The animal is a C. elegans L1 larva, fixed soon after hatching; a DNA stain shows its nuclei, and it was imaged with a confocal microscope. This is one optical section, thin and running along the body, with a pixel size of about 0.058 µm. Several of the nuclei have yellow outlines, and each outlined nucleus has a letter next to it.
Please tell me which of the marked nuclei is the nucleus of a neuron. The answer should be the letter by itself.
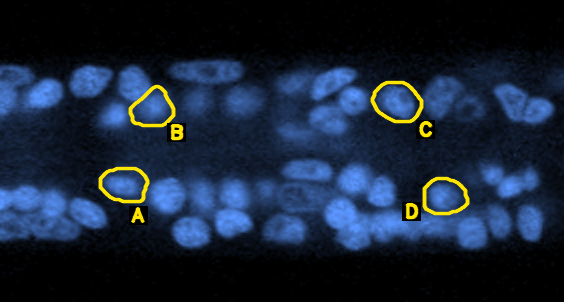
B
